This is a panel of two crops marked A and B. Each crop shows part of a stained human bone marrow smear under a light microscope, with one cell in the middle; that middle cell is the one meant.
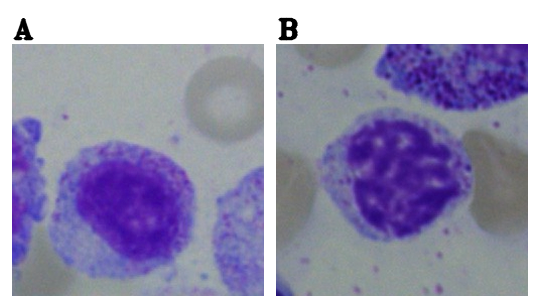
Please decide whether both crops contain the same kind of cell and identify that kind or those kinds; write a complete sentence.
Yes, myelocytes are centred in both crops.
